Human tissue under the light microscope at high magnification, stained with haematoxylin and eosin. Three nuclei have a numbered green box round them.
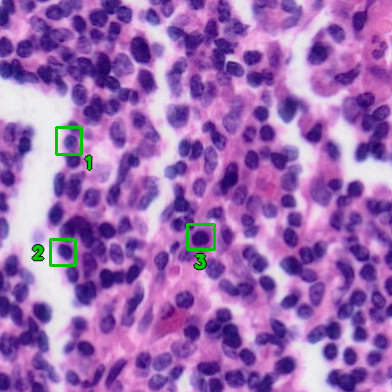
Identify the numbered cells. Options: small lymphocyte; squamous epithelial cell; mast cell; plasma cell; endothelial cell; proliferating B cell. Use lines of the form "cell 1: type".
cell 1: small lymphocyte
cell 2: small lymphocyte
cell 3: plasma cell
